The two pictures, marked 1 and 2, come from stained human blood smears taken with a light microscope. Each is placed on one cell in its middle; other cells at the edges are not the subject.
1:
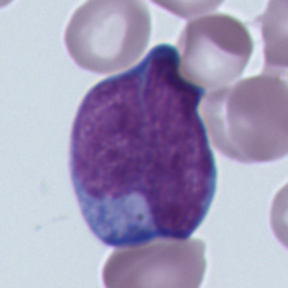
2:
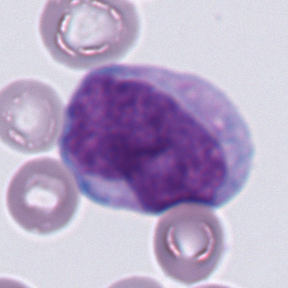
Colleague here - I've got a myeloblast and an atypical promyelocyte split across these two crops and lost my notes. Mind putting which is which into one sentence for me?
Crop 1 is a myeloblast, with crop 2 being an atypical promyelocyte.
